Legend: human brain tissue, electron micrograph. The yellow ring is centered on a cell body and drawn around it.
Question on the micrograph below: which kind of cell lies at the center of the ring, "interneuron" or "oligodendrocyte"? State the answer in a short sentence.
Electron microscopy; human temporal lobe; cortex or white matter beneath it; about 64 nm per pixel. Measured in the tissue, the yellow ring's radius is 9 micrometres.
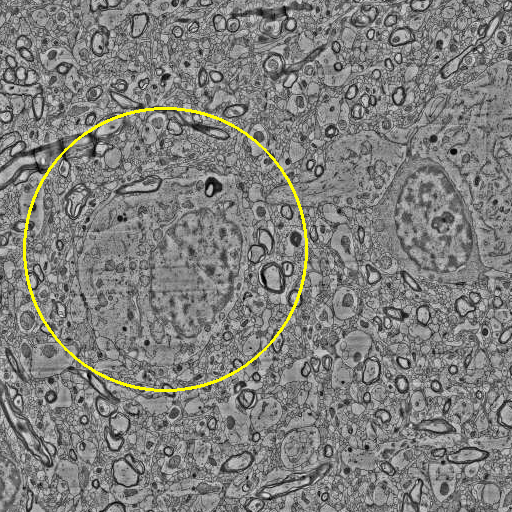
At the center of the ring lies an interneuron.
